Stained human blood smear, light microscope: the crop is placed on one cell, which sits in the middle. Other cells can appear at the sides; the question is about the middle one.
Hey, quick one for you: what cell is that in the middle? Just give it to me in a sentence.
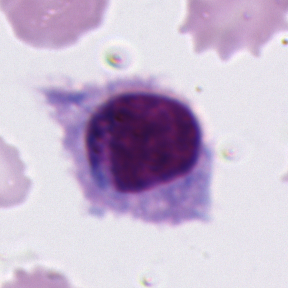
On this slide crop, the central cell is a hairy cell.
